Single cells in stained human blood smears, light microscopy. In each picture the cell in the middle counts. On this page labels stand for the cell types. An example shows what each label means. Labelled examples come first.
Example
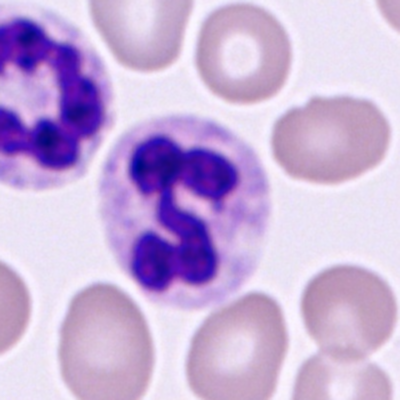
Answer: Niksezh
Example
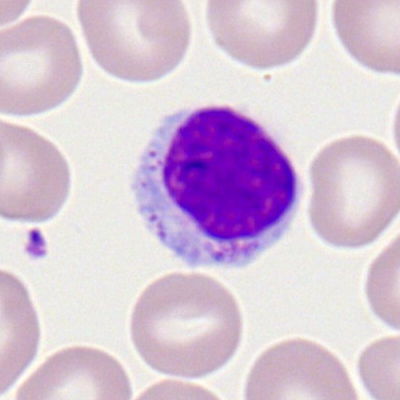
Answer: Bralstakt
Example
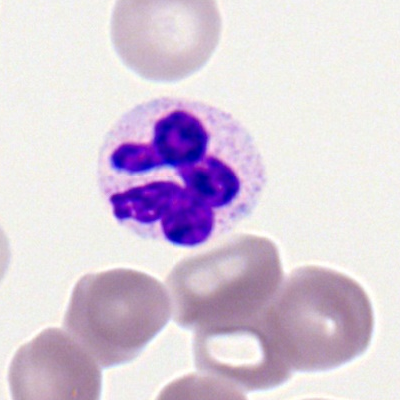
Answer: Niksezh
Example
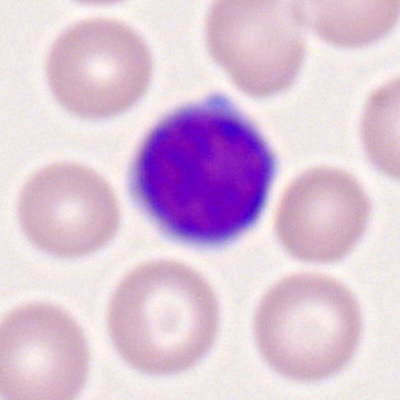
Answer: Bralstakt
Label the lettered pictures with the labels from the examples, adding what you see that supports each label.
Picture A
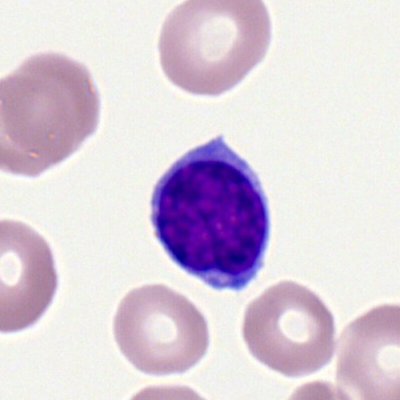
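Bralstakt. The nucleus fills most of the cell.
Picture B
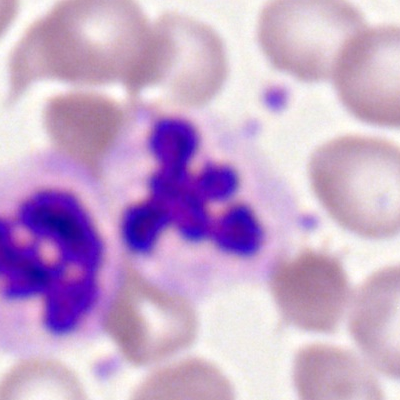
Niksezh. The chromatin is dense and dark purple throughout the lobes.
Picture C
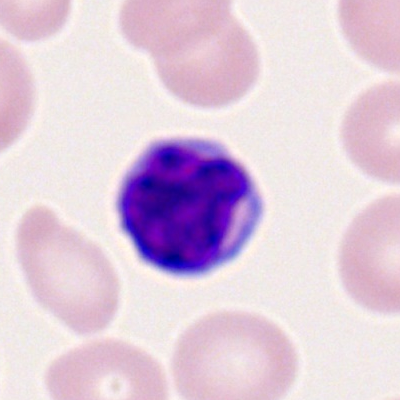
Bralstakt. The cytoplasm forms only a thin rim around the nucleus.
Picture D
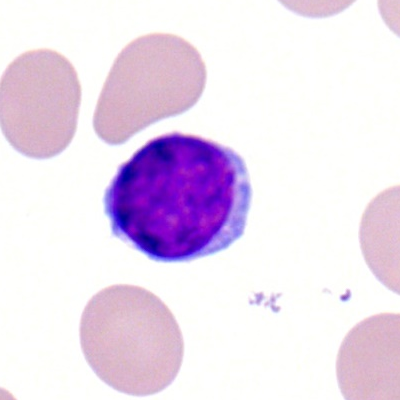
Bralstakt. The nucleus fills most of the cell.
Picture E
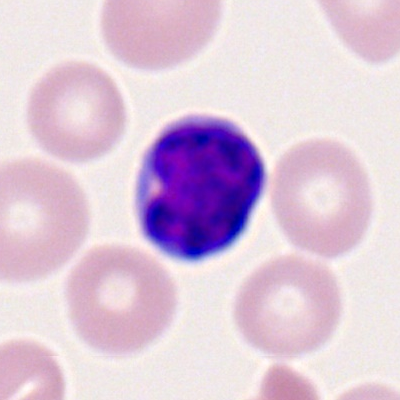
Bralstakt. The cytoplasm forms only a scant rim around the nucleus.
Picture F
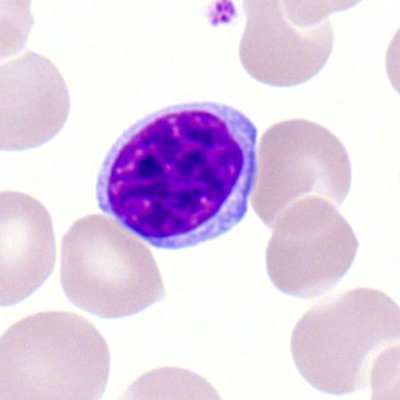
Bralstakt. The cytoplasm forms only a thin rim around the nucleus.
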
